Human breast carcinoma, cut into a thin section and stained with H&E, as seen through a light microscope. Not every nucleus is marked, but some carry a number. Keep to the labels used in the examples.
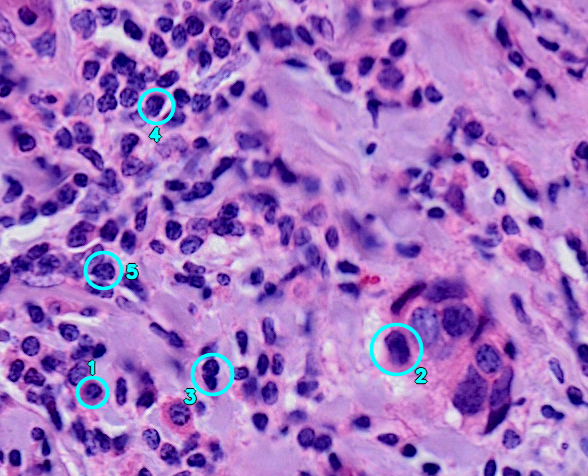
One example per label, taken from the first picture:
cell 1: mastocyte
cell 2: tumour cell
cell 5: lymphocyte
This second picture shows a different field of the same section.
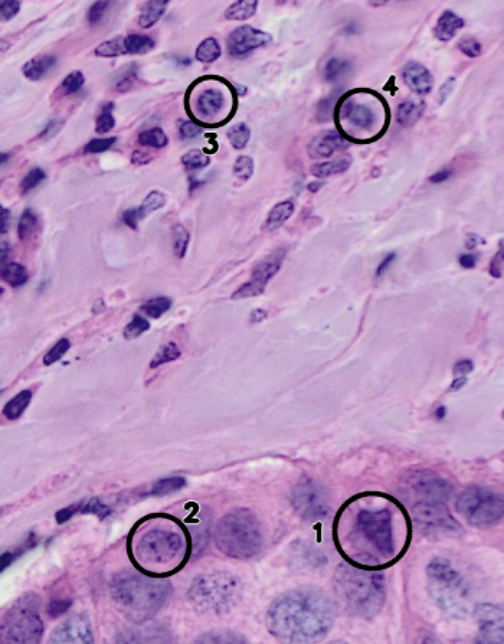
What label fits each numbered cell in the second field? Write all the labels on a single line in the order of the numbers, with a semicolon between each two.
tumour cell; tumour cell; mastocyte; lymphocyte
